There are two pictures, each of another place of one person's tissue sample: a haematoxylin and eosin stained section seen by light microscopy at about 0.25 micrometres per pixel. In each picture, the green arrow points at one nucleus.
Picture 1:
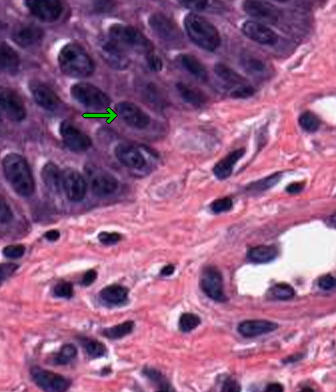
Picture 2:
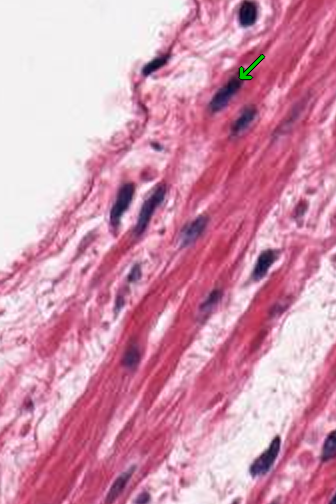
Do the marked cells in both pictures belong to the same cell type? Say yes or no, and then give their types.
No, the first is a squamous epithelial cell and the second a smooth muscle cell.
